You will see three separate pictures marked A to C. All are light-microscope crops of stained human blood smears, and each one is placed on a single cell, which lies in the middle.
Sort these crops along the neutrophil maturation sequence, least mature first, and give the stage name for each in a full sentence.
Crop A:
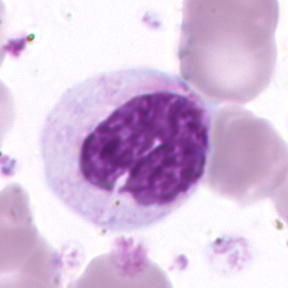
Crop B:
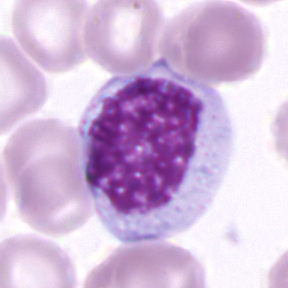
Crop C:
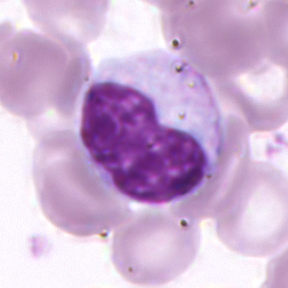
Increasing in maturity, the crops run crop B (a myelocyte), crop C (a metamyelocyte) and crop A (a band neutrophil).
